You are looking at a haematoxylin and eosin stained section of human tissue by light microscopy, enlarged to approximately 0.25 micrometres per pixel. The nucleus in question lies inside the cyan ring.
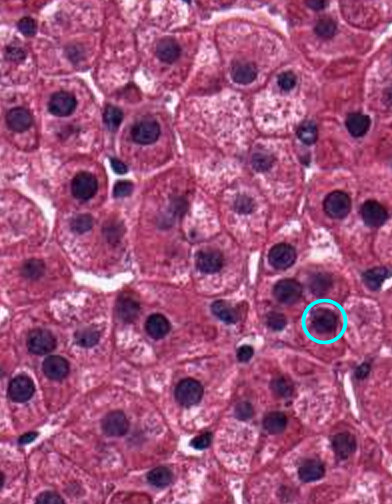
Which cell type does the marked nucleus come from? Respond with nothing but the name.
adrenal cortical cell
